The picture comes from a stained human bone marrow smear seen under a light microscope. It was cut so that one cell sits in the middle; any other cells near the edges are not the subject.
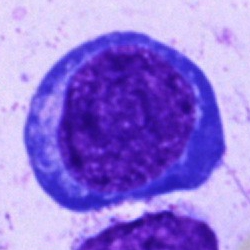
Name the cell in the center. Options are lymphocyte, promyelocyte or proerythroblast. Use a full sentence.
The central cell shown in this smear crop is a proerythroblast.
